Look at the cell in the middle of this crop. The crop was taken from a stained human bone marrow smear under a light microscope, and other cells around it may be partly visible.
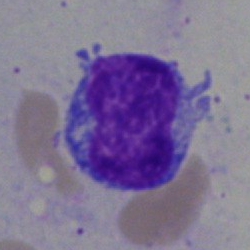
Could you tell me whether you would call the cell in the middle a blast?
yes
